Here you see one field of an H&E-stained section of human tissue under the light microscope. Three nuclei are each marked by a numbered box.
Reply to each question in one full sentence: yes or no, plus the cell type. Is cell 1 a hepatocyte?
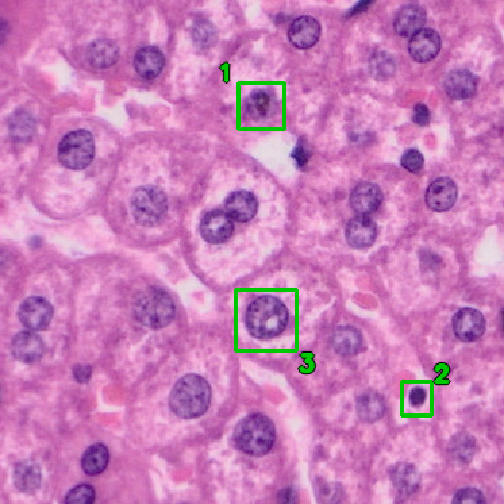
Yes, it checks out; the cell labelled 1 is a hepatocyte.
